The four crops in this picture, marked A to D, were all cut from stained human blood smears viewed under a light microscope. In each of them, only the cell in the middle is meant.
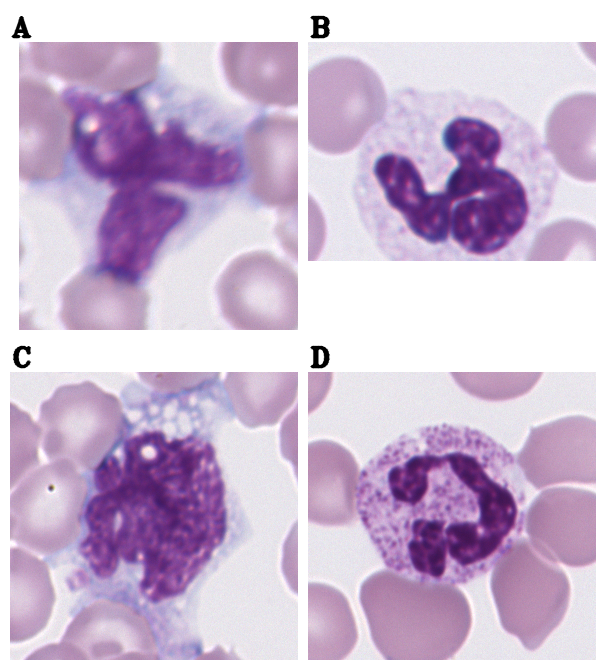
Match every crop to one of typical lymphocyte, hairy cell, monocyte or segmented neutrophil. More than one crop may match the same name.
A: monocyte
B: segmented neutrophil
C: monocyte
D: segmented neutrophil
